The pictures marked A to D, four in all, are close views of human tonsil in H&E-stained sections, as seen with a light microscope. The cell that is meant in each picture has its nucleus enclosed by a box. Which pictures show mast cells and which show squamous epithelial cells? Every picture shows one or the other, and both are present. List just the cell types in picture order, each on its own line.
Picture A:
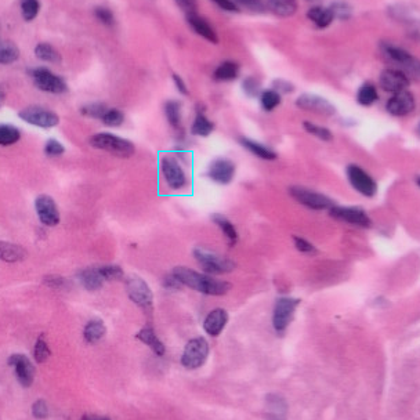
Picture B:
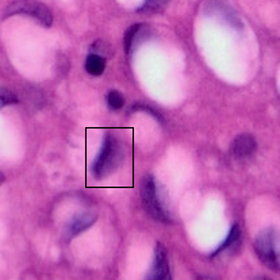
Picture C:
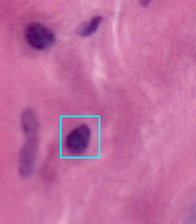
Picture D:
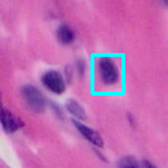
mast cell
squamous epithelial cell
mast cell
mast cell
